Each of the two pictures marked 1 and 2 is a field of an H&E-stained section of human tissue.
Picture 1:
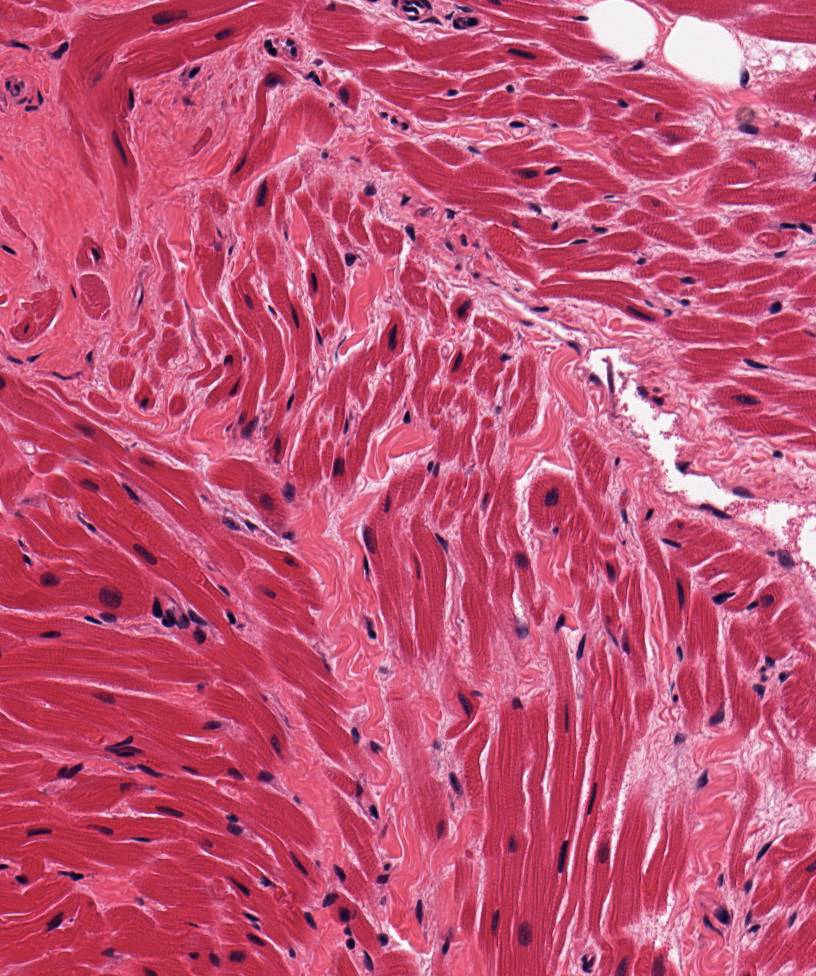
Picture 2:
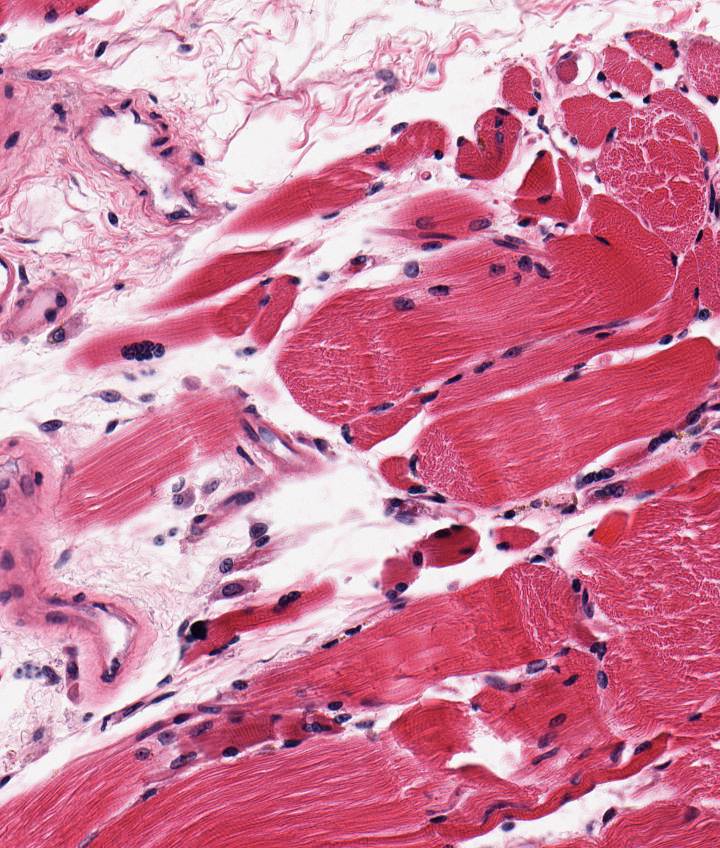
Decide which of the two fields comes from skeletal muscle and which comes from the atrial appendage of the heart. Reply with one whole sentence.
It is picture 1 that comes from the atrial appendage of the heart, and picture 2 that comes from skeletal muscle.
